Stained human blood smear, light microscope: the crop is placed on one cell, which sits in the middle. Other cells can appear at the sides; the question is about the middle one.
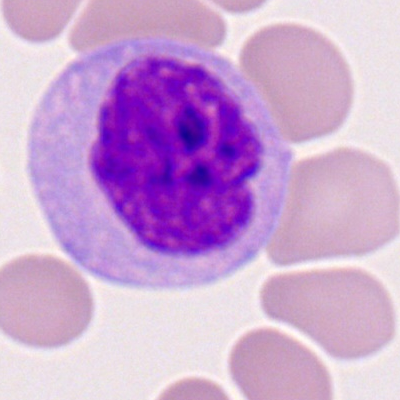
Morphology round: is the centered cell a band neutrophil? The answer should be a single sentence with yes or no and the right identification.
No, the central cell is a monocyte; it should not be labelled a band neutrophil.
